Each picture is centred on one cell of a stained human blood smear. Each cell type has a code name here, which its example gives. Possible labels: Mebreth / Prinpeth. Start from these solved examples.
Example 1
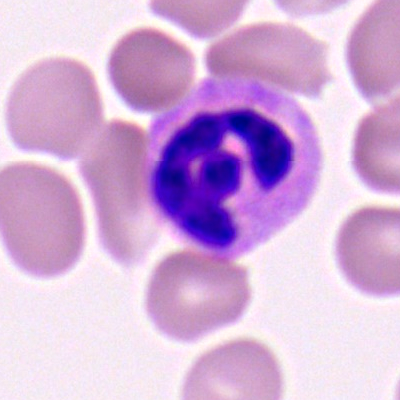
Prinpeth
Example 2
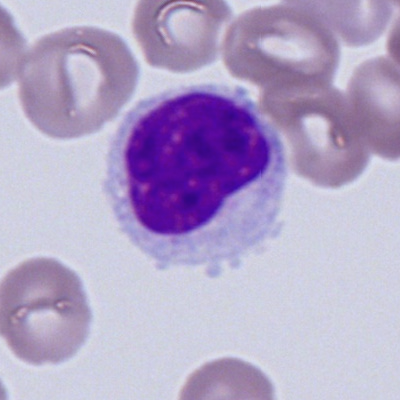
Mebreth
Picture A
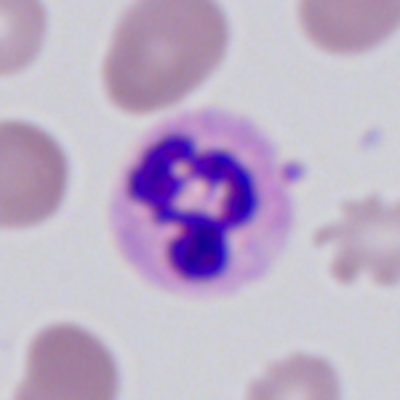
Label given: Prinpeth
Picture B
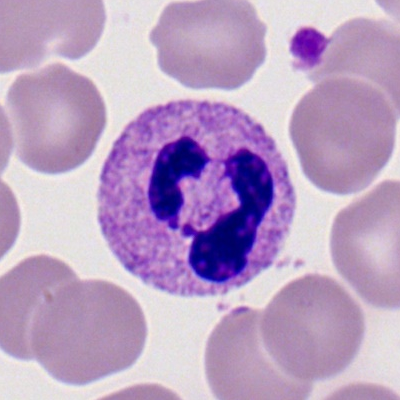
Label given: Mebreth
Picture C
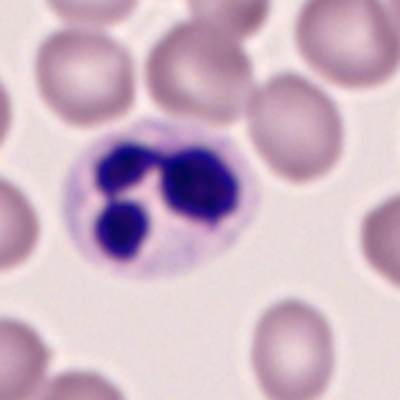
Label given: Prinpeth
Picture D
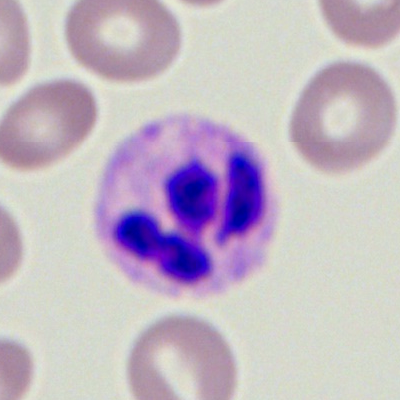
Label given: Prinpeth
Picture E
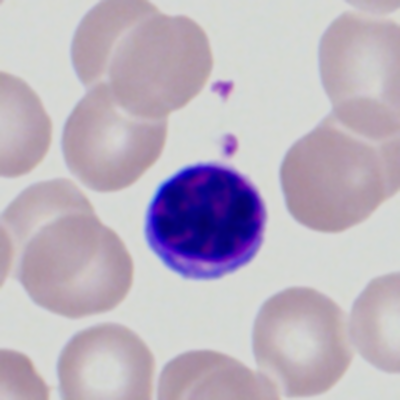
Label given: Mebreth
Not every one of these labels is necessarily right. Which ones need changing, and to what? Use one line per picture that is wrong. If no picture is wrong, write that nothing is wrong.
Wrong: B (Mebreth); correct: Prinpeth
